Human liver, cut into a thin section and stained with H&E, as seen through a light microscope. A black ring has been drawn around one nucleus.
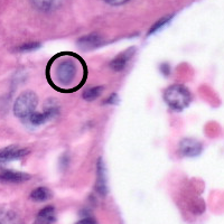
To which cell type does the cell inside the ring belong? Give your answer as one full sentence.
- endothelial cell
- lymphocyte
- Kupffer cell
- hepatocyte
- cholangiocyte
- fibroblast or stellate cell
This is a cholangiocyte.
